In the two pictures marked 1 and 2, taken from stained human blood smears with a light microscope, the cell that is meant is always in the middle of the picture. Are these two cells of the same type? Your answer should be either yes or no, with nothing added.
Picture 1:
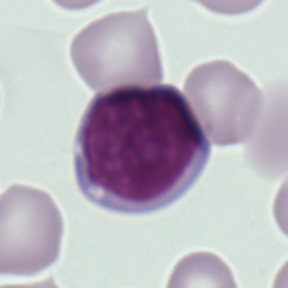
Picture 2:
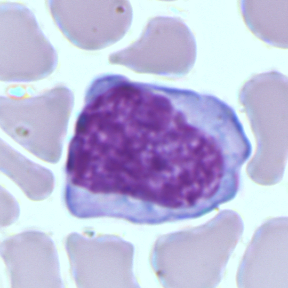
no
